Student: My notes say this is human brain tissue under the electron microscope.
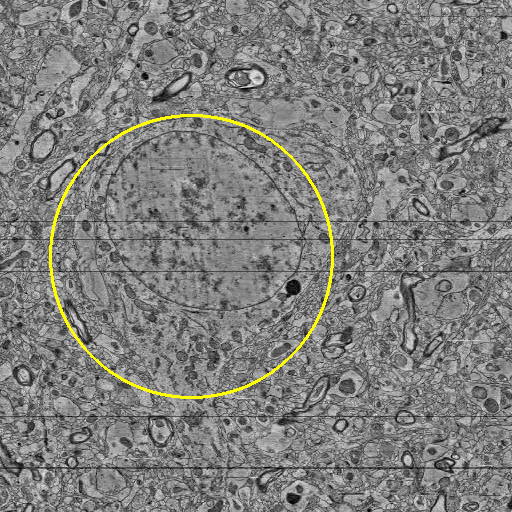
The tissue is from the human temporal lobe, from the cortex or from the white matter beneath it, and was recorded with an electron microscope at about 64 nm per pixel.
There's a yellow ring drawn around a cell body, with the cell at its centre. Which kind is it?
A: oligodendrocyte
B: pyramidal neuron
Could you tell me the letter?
B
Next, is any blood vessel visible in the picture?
No, no blood vessel can be seen.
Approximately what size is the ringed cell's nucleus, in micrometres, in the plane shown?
The ringed cell's nucleus measures approximately 14 by 11 micrometres in this plane.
